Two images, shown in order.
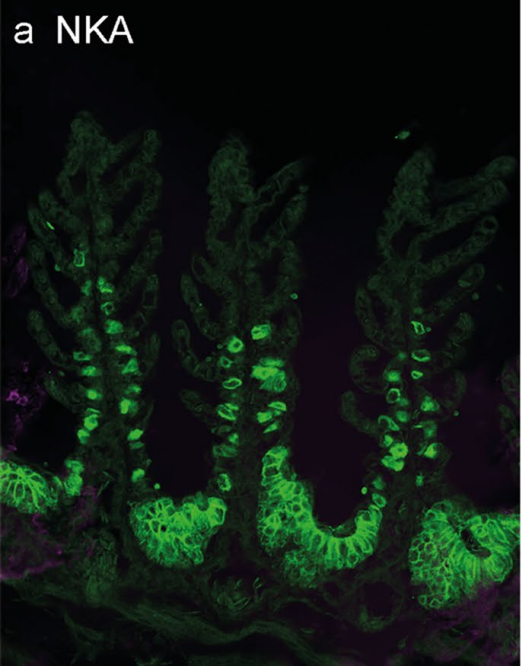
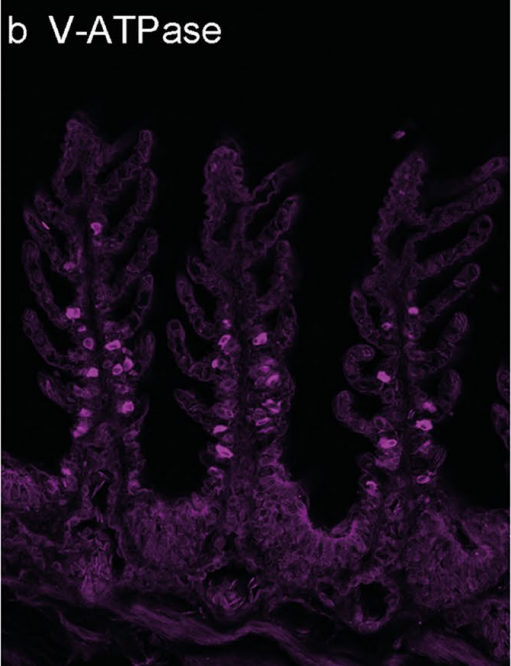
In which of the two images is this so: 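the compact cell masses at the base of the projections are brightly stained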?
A: the first image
